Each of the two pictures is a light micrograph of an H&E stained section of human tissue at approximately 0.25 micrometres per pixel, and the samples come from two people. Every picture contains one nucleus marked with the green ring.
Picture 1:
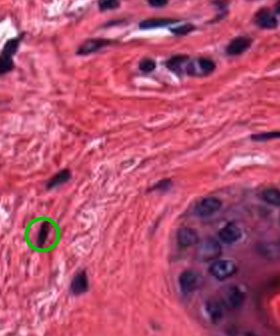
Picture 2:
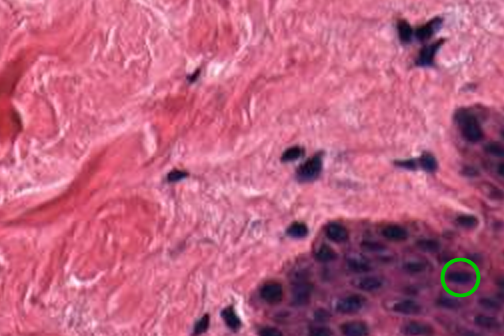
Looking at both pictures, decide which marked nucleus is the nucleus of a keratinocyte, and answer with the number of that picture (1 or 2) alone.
2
